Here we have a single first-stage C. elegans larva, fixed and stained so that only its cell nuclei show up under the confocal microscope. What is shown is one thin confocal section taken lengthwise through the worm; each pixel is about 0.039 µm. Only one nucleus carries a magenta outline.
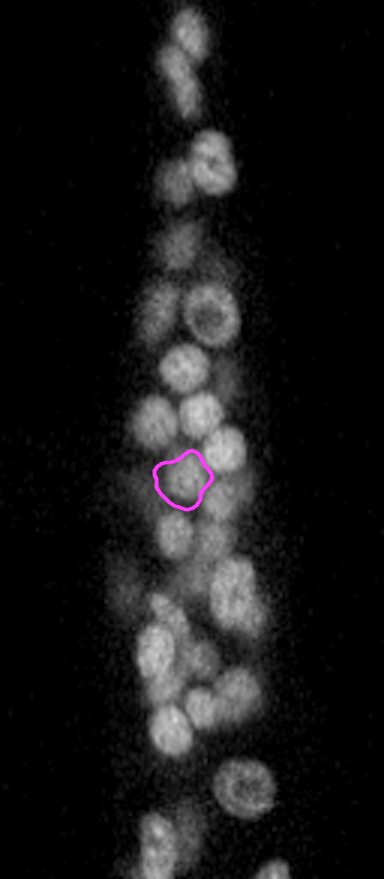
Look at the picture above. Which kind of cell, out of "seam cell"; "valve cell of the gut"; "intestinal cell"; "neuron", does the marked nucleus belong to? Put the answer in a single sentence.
This nucleus is from a neuron.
